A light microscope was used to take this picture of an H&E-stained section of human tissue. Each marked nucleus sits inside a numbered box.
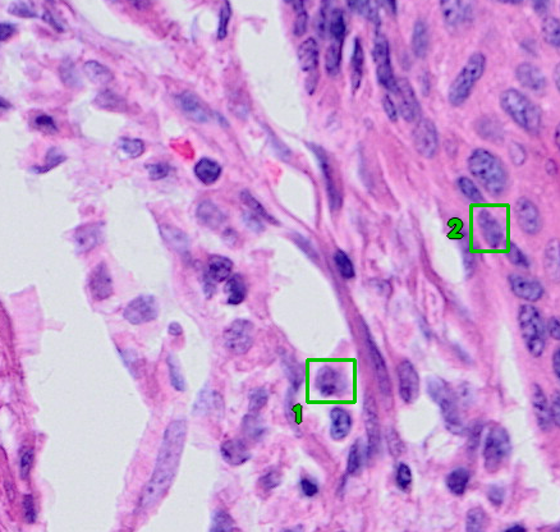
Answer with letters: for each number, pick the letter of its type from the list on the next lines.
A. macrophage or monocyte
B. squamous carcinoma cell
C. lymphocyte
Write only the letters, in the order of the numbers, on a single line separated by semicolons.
A; B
